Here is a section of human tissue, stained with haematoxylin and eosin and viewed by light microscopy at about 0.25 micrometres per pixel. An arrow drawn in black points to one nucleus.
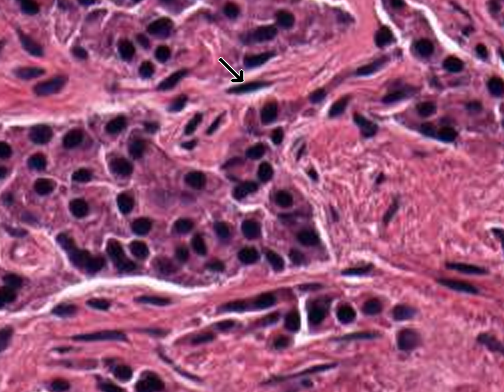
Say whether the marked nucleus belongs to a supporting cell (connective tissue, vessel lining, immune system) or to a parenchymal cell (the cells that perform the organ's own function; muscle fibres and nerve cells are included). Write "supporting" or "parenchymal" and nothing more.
supporting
